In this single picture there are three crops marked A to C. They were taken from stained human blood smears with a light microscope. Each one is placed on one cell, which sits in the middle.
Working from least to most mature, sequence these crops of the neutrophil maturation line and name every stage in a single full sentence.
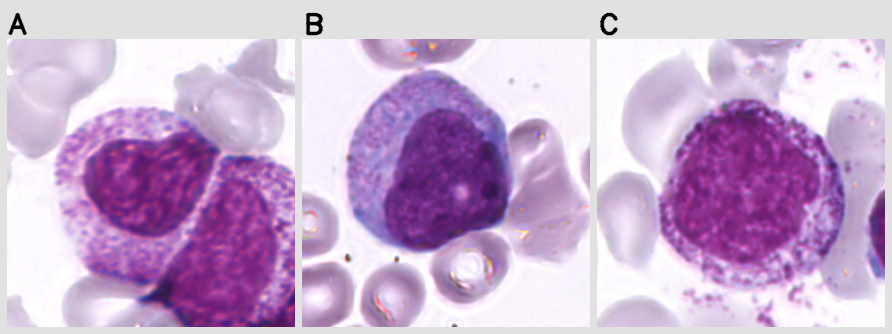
The right order here, from least to most mature, is crop B (a promyelocyte), crop C (a myelocyte) and crop A (a band neutrophil).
